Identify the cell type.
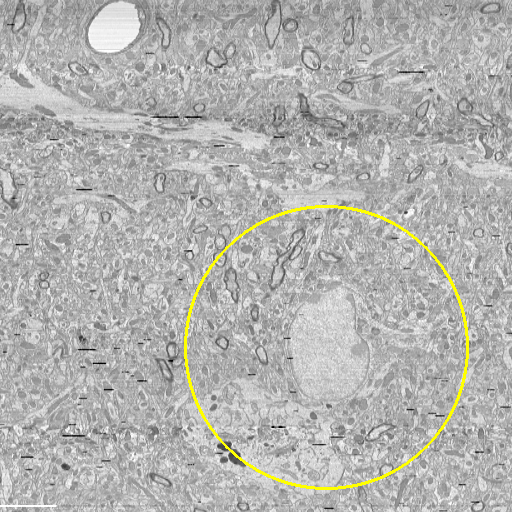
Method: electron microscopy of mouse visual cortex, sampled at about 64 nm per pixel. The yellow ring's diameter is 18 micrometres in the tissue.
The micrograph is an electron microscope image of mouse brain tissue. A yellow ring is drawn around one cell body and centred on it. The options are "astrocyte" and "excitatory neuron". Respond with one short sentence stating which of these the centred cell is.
The cell body in the ring belongs to an astrocyte.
